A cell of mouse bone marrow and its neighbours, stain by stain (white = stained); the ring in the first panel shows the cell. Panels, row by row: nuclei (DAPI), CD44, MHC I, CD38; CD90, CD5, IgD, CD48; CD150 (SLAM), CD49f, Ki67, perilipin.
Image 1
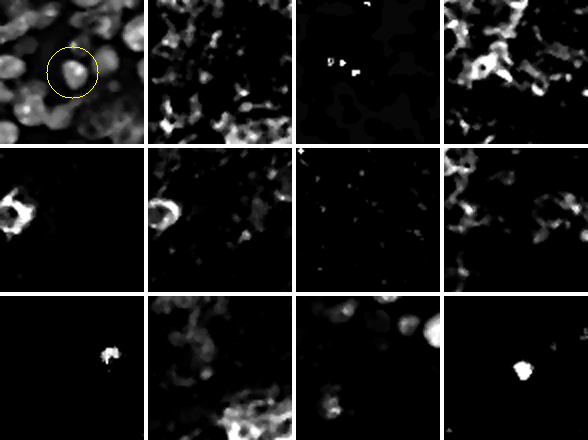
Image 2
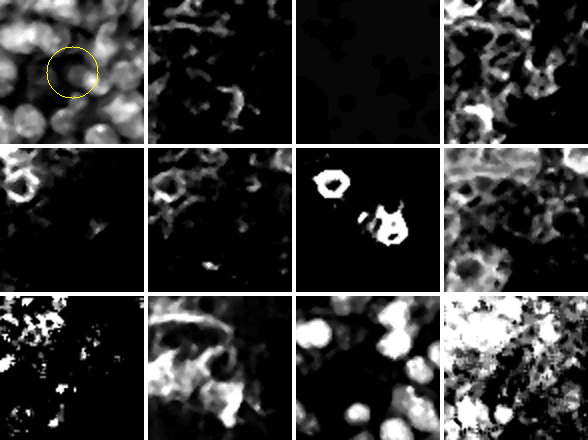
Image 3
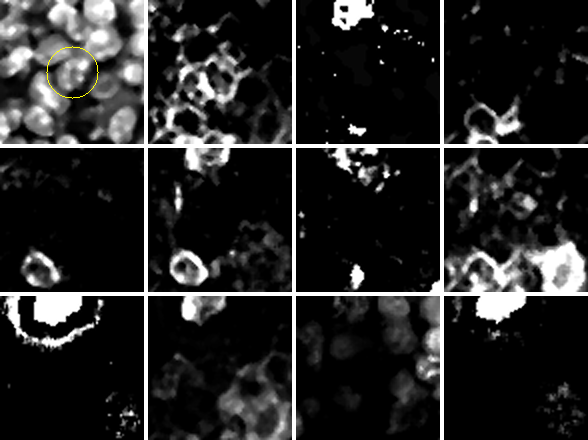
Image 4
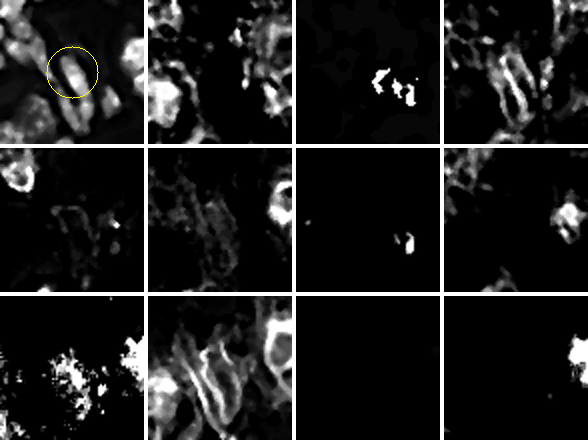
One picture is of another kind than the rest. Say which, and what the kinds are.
Picture 3 shows a neutrophil; the rest show capillary endothelial cells.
